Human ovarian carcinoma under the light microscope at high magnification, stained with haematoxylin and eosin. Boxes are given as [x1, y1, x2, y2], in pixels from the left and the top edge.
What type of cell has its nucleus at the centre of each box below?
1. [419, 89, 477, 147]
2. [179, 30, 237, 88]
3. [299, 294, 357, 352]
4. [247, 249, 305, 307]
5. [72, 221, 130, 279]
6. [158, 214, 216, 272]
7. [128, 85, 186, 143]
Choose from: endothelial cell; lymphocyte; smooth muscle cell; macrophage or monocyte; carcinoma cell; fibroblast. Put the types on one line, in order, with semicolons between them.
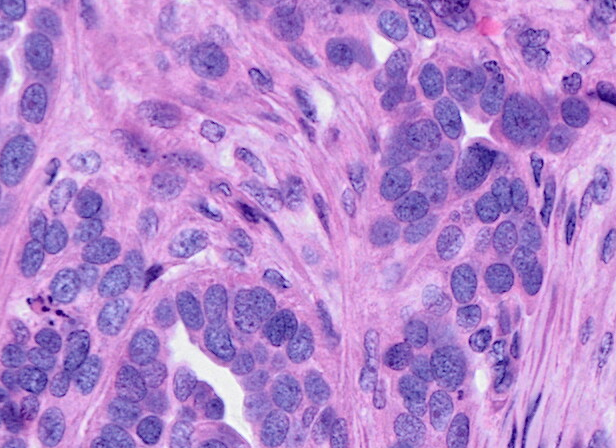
carcinoma cell; carcinoma cell; fibroblast; fibroblast; carcinoma cell; fibroblast; fibroblast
